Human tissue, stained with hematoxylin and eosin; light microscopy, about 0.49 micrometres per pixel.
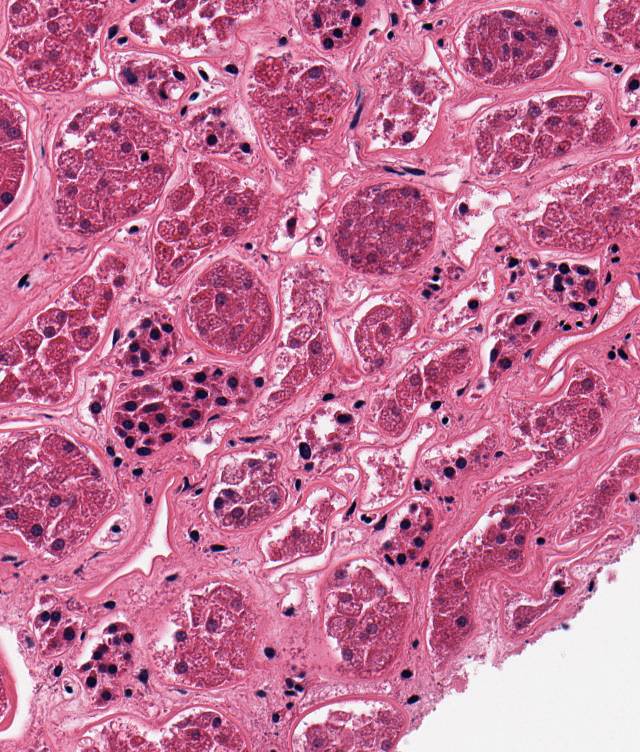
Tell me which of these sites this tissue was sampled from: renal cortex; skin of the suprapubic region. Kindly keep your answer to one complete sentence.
It is the renal cortex from which this tissue was sampled.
